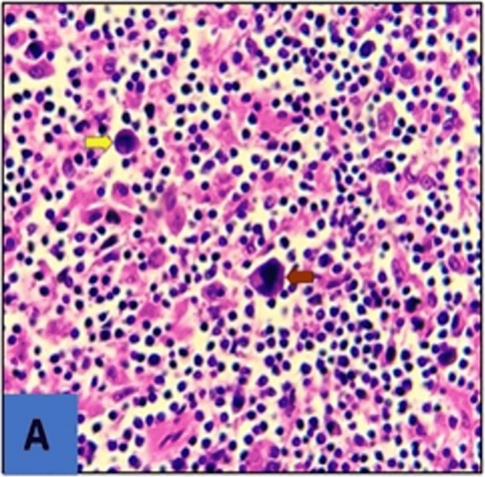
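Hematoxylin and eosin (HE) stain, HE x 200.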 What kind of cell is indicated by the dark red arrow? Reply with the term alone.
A: Reed Sternberg's binucleated tumor cells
